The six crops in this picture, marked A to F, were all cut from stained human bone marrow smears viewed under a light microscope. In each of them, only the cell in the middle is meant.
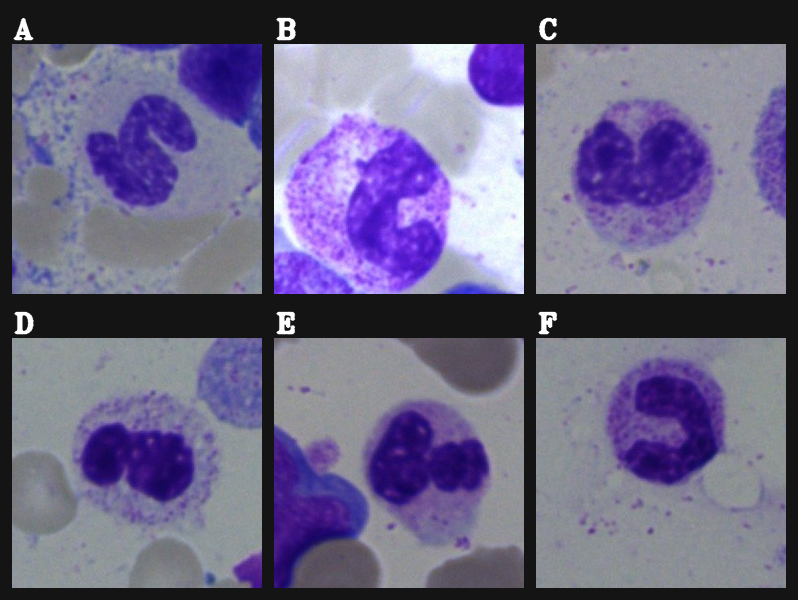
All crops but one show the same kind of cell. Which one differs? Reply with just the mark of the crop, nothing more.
E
